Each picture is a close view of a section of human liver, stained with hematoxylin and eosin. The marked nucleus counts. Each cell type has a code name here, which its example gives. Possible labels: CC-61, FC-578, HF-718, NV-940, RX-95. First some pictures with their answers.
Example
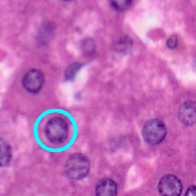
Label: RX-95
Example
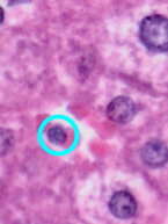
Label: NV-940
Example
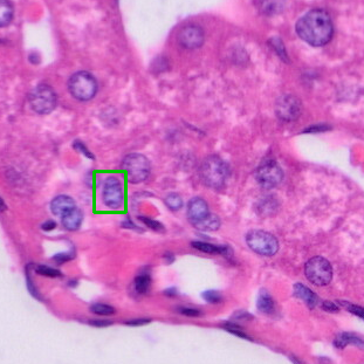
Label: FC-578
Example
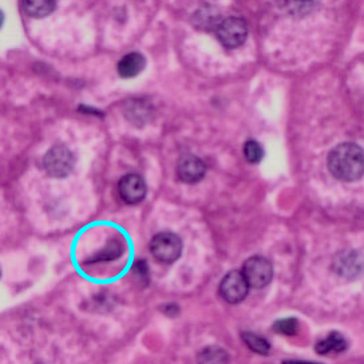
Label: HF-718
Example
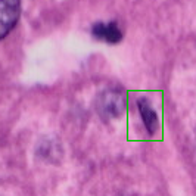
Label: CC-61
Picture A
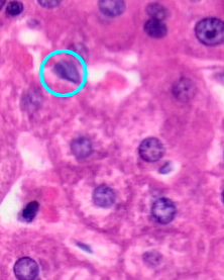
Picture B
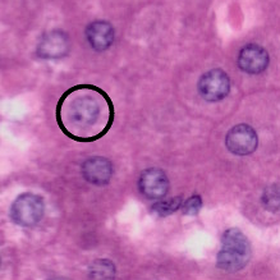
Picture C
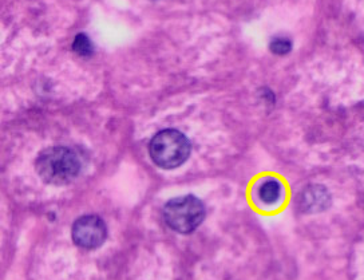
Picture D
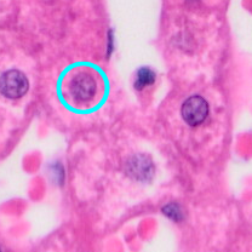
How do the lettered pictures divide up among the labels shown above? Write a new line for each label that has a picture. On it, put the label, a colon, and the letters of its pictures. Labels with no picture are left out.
CC-61: A
NV-940: C
RX-95: B, D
